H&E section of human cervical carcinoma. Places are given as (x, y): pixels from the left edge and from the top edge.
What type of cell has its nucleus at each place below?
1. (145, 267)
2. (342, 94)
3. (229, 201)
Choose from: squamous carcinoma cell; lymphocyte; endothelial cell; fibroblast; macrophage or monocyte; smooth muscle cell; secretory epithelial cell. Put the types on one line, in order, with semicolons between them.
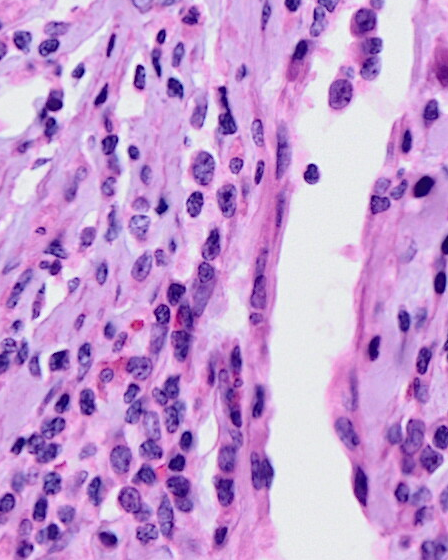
macrophage or monocyte; macrophage or monocyte; lymphocyte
